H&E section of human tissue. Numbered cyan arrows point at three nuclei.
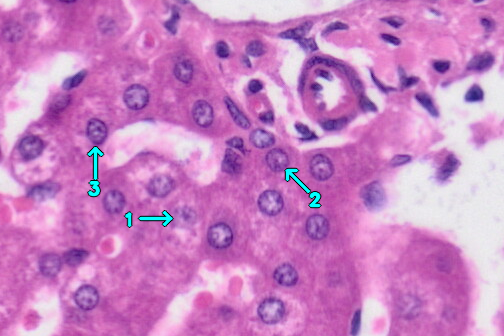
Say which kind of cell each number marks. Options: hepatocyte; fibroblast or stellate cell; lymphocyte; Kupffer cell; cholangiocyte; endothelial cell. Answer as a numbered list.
1. hepatocyte
2. cholangiocyte
3. hepatocyte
